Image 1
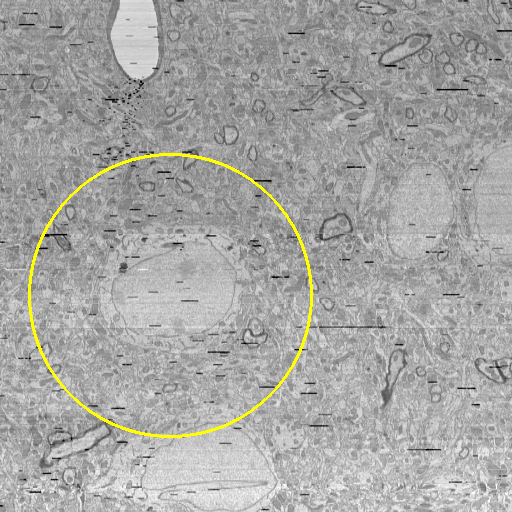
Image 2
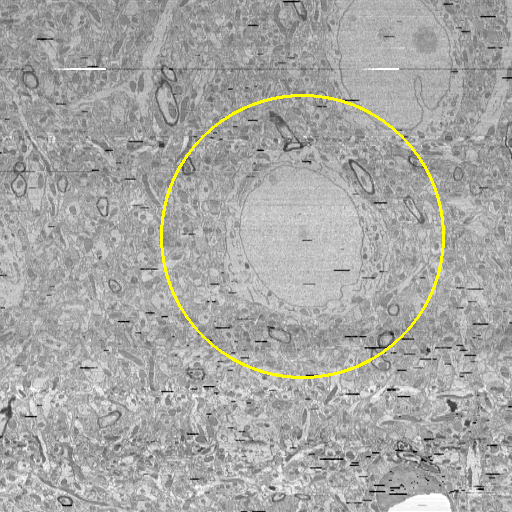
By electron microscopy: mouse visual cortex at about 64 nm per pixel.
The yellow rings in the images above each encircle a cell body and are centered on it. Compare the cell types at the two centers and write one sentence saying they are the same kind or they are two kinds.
Taken together, the two cells at the ring centers are the same kind.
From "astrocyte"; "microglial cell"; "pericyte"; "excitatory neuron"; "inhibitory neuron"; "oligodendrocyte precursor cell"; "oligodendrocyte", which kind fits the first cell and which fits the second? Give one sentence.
Each cell, in the first picture and the second, is an excitatory neuron.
